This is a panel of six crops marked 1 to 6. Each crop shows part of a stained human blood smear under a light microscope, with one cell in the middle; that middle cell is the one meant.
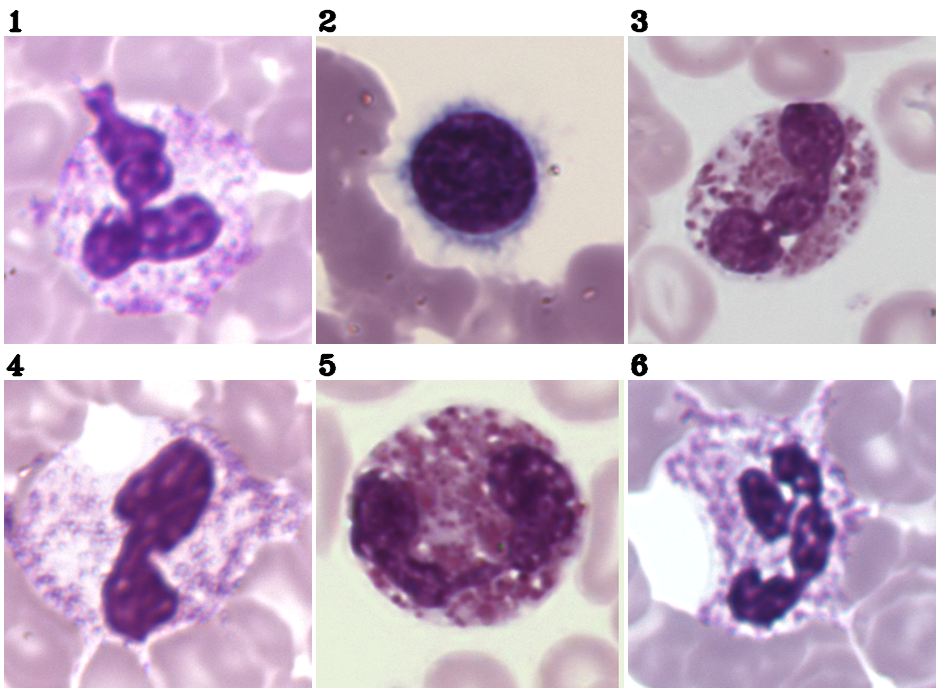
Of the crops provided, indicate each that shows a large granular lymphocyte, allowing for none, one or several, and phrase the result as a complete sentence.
Among the crops there is not one that shows a large granular lymphocyte.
